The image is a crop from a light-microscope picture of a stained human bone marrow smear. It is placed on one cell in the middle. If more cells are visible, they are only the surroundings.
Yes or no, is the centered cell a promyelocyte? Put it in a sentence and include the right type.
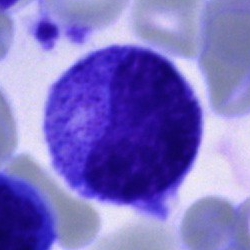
Yes, the cell in the middle is rightly called a promyelocyte.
